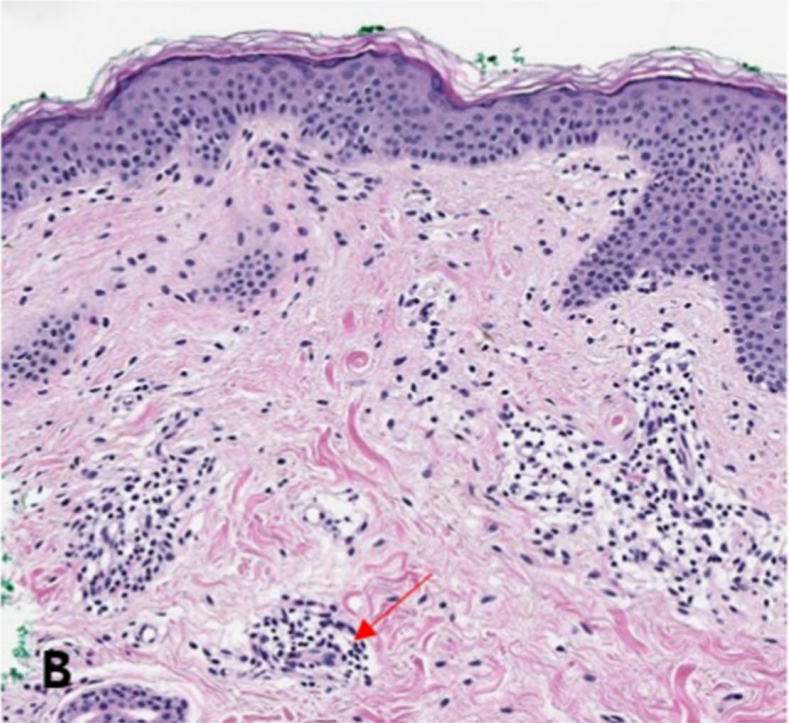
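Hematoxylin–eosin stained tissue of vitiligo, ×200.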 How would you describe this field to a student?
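This is skin, with stratified squamous epidermis at the top, its purple nuclei crowded in the lower layers and a thin pink keratin layer on the surface. The epidermis sends broad rete ridges down into the dermis. The basal layer shows little or no brown pigment. In the dermis below, loose pink collagen is interspersed with scattered groups of small dark round nuclei, which gather around small vessels as a mild perivascular inflammation.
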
